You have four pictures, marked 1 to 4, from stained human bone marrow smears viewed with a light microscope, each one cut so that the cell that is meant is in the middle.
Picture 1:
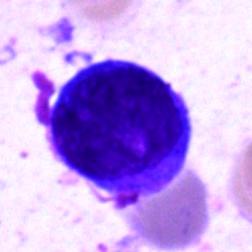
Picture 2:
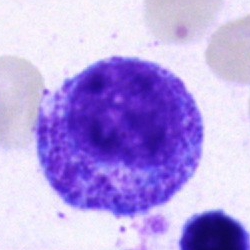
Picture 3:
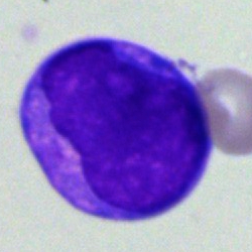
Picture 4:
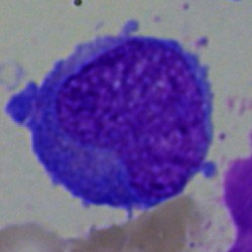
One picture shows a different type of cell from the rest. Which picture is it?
2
